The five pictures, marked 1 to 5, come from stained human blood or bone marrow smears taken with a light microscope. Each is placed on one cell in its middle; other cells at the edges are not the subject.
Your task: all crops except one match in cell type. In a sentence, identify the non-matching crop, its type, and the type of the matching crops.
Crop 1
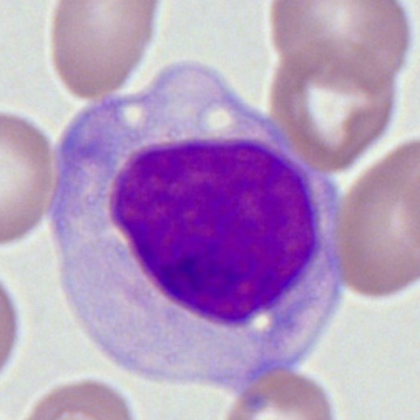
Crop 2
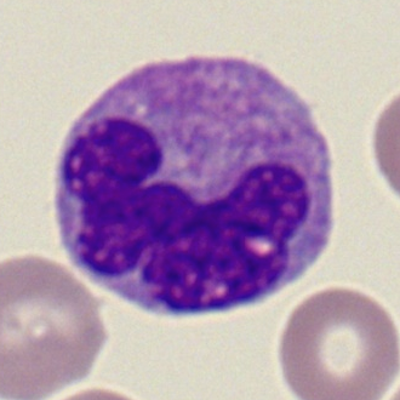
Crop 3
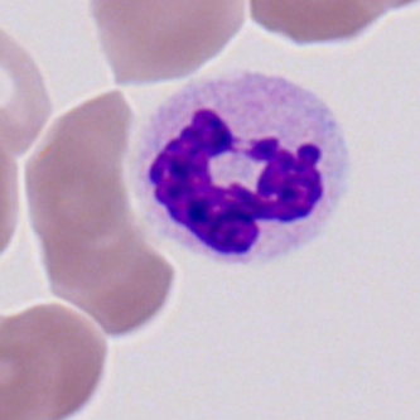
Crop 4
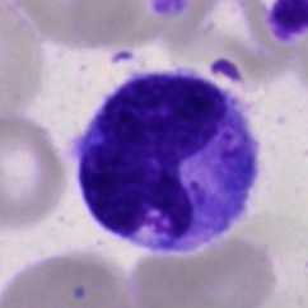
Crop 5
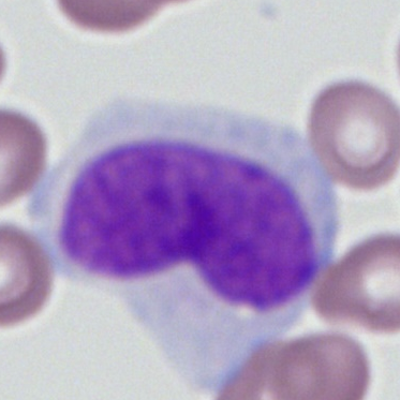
Just crop 3 is a segmented neutrophil; all the other crops show monocytes.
